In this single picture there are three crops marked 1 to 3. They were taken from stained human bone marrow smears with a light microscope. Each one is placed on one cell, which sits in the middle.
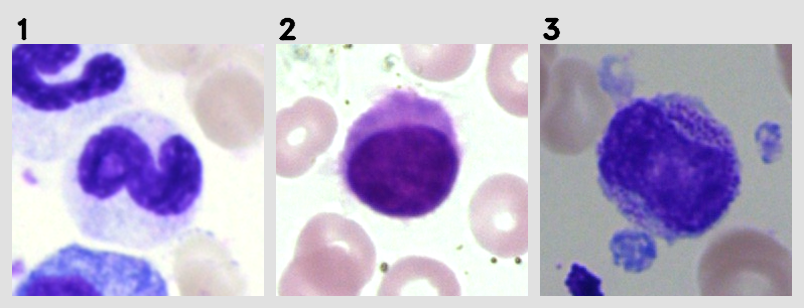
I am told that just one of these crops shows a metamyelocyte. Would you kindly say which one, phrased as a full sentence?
Crop 3 is the crop featuring a metamyelocyte at its center.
